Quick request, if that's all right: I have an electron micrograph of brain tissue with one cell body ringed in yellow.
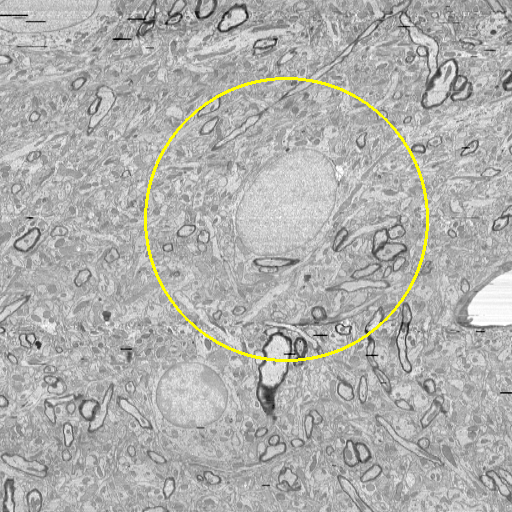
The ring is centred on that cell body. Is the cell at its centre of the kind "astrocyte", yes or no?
yes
